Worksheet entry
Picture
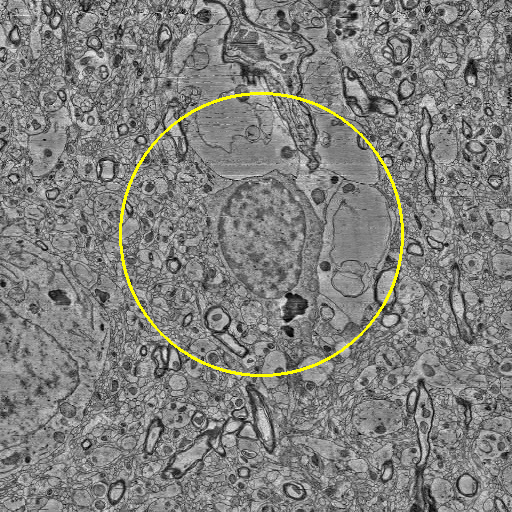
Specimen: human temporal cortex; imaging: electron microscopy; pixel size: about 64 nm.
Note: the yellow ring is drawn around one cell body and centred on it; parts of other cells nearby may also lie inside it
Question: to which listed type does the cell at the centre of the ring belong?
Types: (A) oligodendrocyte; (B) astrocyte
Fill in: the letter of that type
A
